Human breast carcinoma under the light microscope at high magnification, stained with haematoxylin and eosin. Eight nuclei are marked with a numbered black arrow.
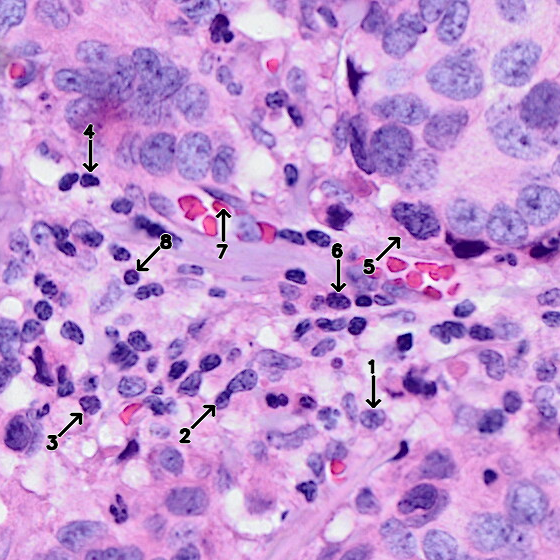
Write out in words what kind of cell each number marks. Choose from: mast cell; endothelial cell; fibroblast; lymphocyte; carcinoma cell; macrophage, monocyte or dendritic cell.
Cell 1 is a macrophage, monocyte or dendritic cell. Cells 2, 3, 4, 6 and 8 are lymphocytes. Cell 5 is a carcinoma cell. Cell 7 is an endothelial cell.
